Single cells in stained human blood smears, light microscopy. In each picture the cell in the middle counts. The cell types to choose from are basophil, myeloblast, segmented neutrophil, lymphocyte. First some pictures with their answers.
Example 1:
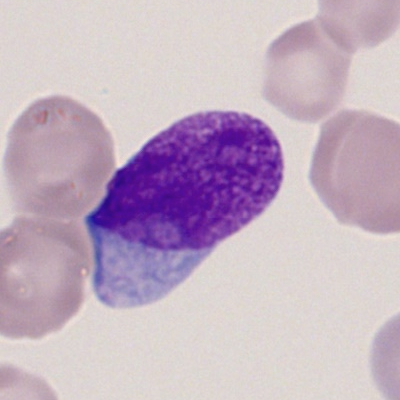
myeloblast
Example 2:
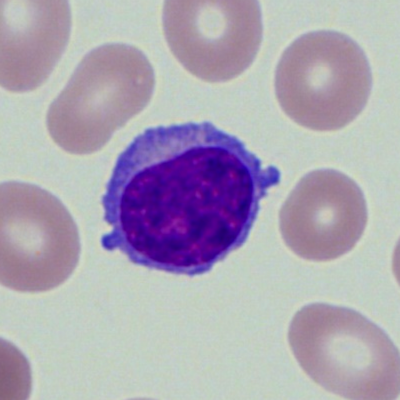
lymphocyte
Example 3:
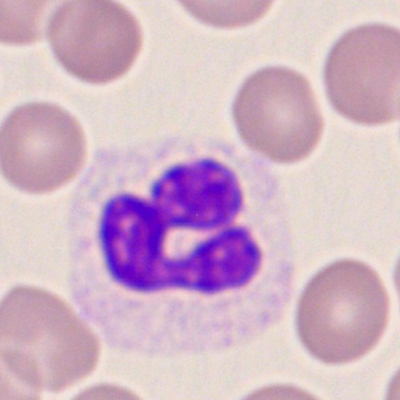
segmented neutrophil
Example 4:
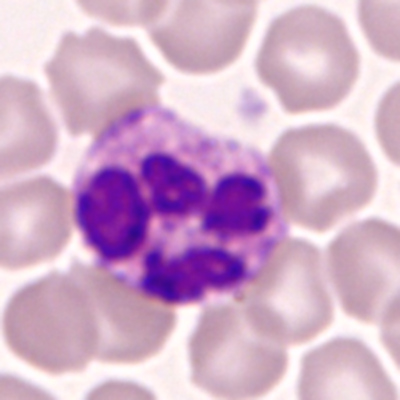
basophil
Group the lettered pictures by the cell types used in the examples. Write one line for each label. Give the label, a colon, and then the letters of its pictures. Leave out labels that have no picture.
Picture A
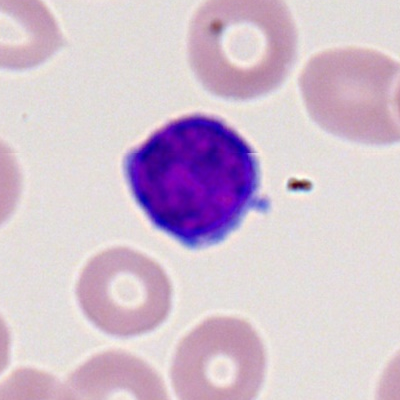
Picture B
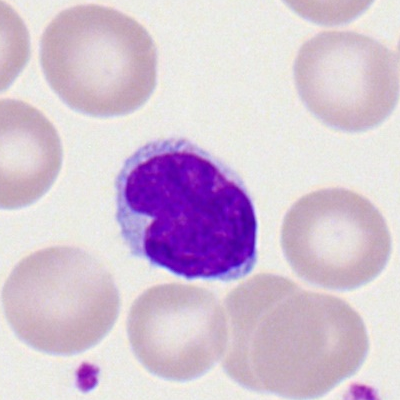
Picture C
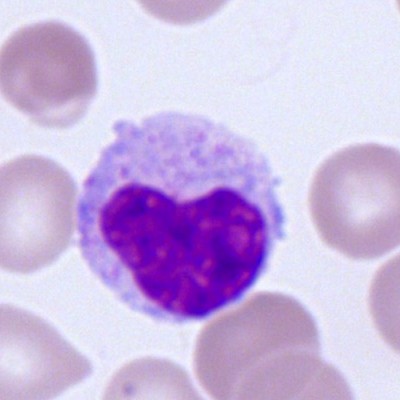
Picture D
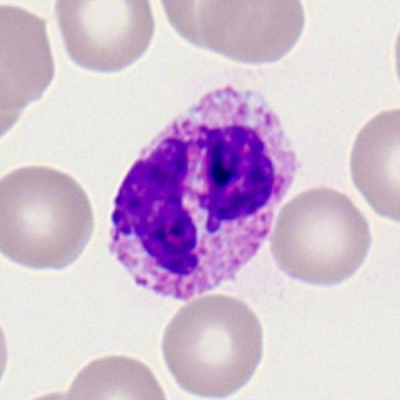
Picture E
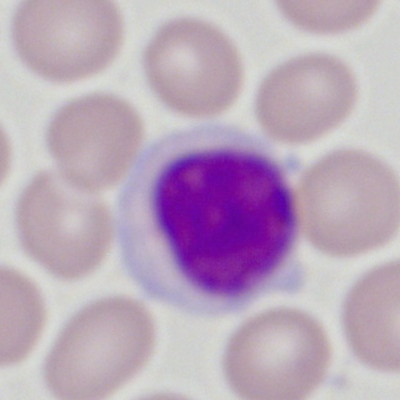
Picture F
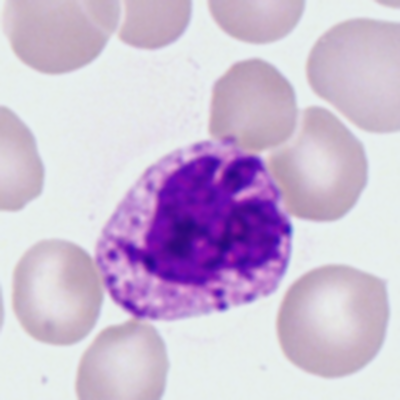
basophil: D, F
lymphocyte: A, B, C, E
